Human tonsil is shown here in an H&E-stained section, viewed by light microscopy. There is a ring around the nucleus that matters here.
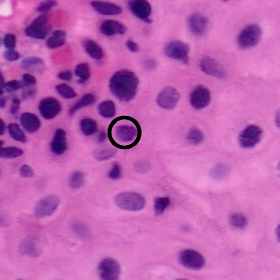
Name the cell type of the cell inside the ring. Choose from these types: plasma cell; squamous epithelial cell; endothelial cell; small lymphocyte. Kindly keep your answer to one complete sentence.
It is as a squamous epithelial cell that the cell inside the ring is classified.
